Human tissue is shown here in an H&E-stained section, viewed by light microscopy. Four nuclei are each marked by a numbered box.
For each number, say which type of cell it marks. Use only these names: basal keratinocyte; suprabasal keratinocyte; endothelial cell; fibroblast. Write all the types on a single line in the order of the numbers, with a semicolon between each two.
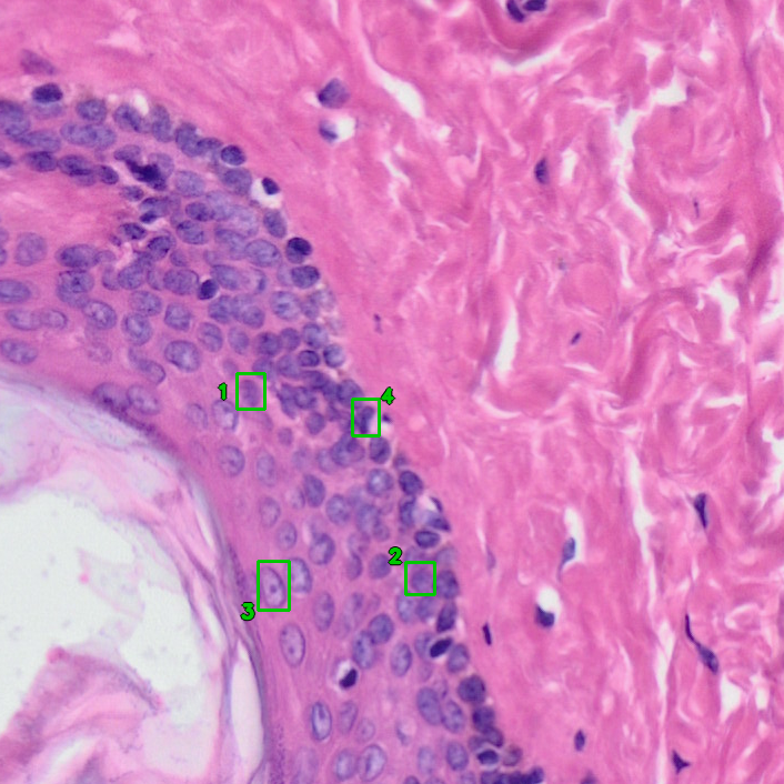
basal keratinocyte; basal keratinocyte; suprabasal keratinocyte; basal keratinocyte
